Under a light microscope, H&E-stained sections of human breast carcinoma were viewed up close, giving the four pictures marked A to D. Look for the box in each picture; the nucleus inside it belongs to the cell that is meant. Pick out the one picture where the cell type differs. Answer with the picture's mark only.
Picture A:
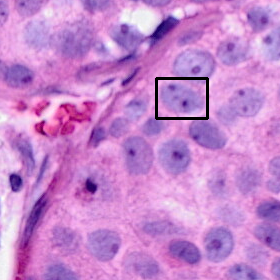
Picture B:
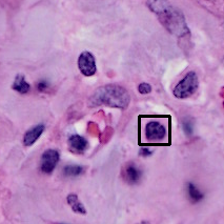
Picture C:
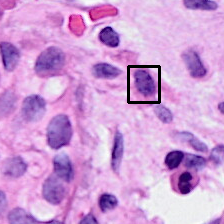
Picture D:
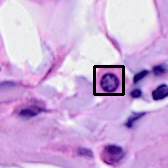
A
